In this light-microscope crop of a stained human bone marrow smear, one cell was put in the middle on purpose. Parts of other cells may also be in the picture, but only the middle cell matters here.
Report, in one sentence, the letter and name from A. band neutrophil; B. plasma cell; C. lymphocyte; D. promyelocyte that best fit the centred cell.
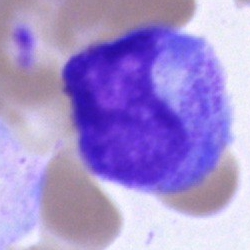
Answer key: option D, the middle cell being a promyelocyte.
